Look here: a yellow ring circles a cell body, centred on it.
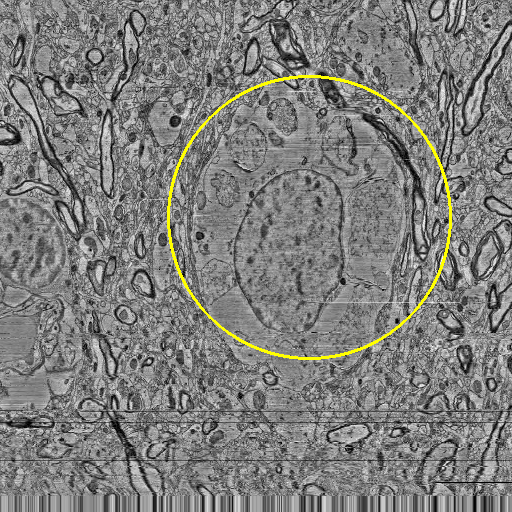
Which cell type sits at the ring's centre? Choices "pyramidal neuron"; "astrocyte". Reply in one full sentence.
The cell at the centre of the yellow ring in the picture is an astrocyte.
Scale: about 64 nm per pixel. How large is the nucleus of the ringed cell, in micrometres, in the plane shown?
About 11 by 7 micrometres, the nucleus being clearly longer than it is wide in this plane.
